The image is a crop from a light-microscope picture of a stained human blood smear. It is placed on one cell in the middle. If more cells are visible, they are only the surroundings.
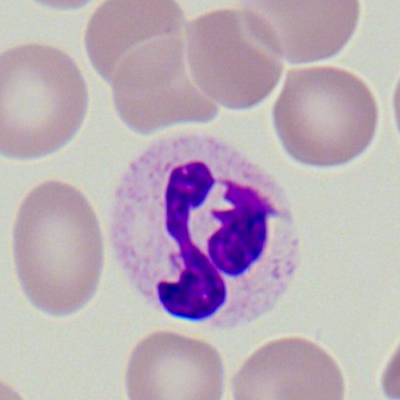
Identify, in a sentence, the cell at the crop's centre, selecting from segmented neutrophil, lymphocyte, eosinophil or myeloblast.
The cell that lies at the centre of the crop is a segmented neutrophil.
